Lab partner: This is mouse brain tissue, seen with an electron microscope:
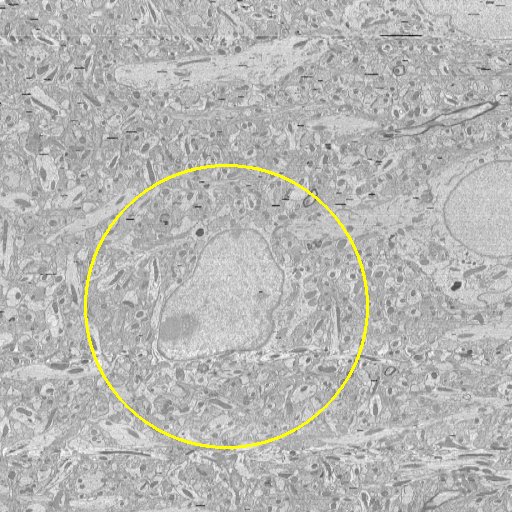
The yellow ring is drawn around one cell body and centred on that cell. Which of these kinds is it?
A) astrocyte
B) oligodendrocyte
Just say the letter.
A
